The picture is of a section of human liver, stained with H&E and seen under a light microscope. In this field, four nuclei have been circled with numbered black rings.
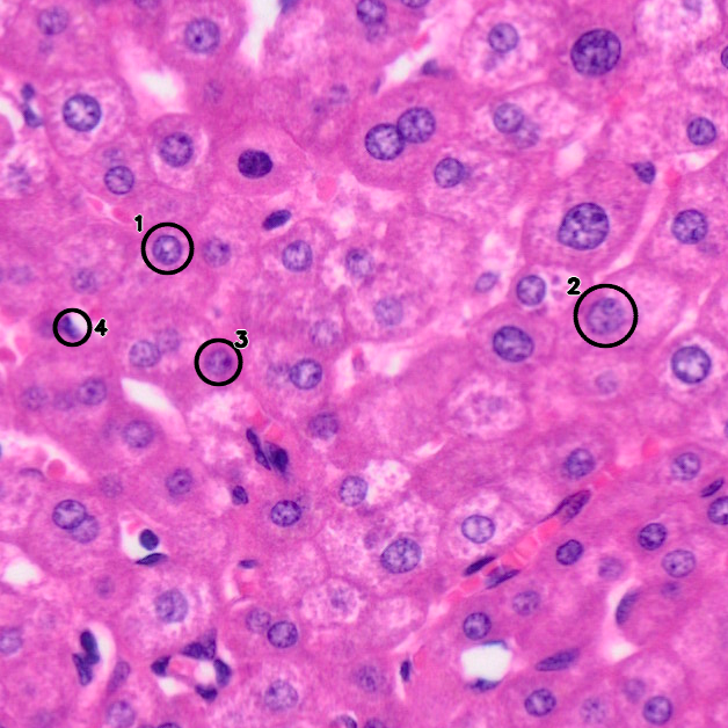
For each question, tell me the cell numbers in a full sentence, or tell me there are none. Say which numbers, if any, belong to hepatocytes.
Classified as hepatocytes are the cells numbered 1, 2 and 3.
